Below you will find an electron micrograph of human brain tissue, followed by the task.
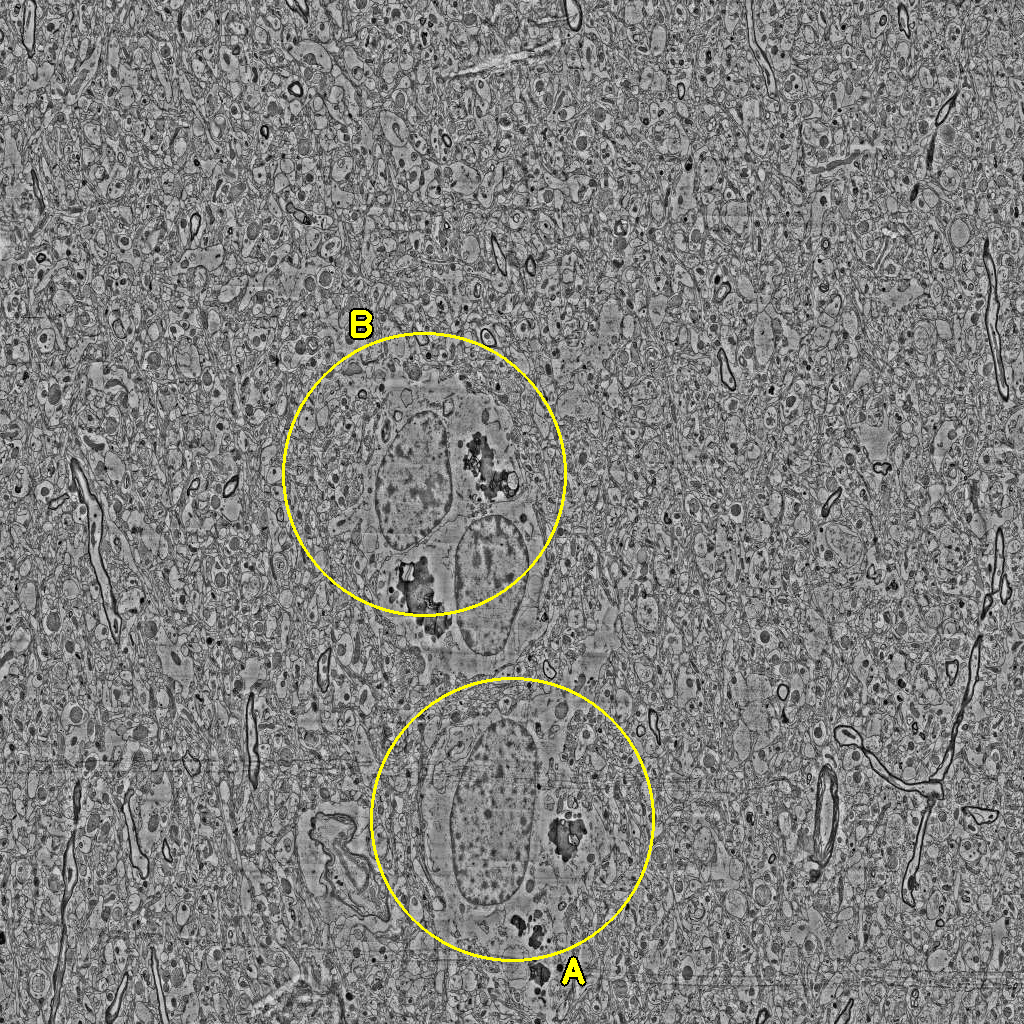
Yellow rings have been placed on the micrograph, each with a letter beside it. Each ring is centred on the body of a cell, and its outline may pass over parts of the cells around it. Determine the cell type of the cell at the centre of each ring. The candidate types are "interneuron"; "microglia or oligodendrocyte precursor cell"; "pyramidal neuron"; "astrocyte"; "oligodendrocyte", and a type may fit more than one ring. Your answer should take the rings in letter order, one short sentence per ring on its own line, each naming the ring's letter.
The centre of ring A falls on an astrocyte.
The centre of ring B falls on an astrocyte.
